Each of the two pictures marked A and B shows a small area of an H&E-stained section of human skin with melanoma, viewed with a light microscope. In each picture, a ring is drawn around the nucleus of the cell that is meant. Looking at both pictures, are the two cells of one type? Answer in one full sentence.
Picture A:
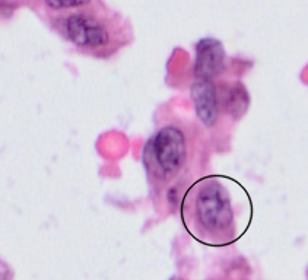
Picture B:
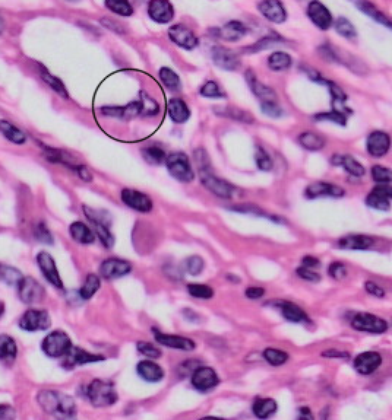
No; the cell in picture A is a melanoma cell, while the one in picture B is an endothelial cell.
